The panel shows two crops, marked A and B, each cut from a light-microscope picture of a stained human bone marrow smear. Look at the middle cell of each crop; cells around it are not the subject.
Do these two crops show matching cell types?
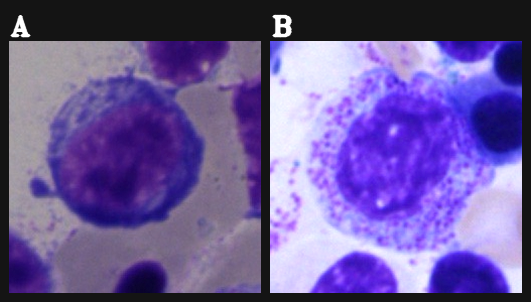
no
